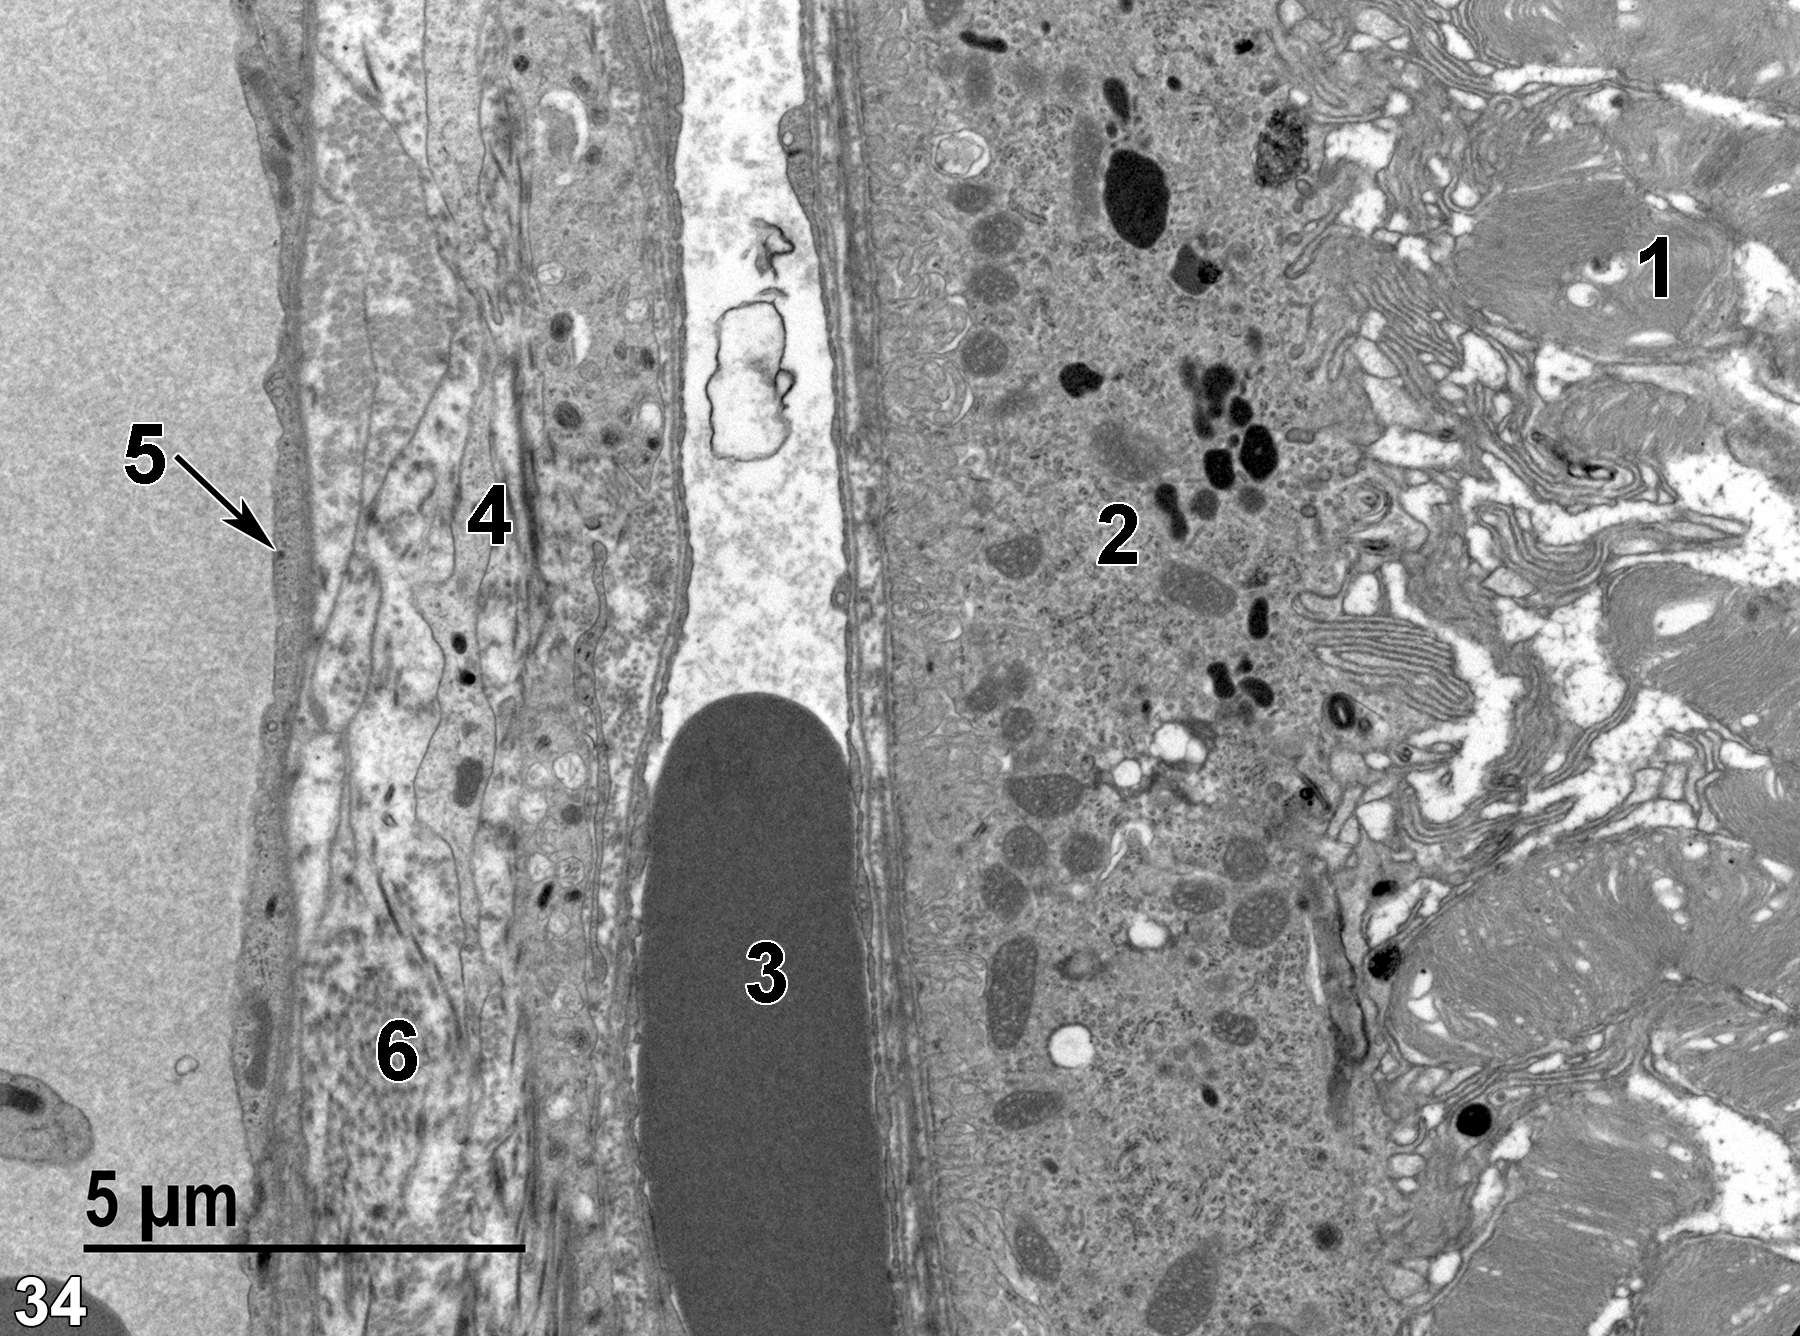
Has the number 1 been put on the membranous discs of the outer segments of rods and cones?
Yes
